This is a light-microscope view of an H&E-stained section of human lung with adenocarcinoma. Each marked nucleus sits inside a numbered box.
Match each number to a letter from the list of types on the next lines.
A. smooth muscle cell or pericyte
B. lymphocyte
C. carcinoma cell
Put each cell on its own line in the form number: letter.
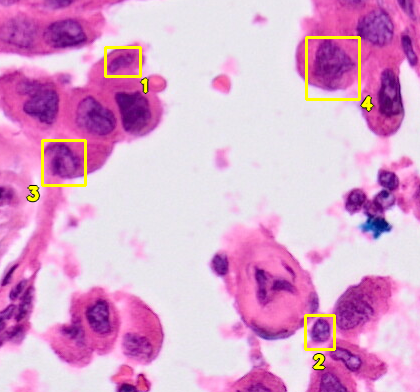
1: C
2: B
3: C
4: C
